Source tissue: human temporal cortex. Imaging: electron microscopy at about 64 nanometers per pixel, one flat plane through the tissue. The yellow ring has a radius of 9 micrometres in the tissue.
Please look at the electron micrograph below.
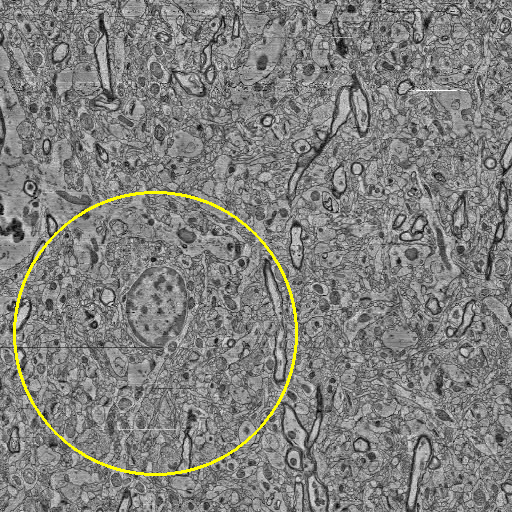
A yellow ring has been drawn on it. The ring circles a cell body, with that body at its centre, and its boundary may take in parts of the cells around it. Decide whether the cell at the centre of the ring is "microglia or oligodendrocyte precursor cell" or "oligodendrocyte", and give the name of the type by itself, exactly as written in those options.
microglia or oligodendrocyte precursor cell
